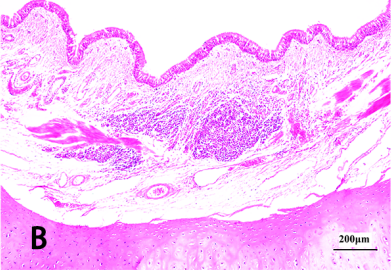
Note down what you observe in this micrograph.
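This is the wall of a bronchus with an aggregate of lymphoid follicles in its submucosa. A folded columnar epithelium lines the top, above a loose pale pink connective tissue. In the middle lies a dense cluster of small dark purple lymphoid cells, next to pink bundles of smooth muscle. At the bottom lies a broad pale plate of hyaline cartilage.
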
